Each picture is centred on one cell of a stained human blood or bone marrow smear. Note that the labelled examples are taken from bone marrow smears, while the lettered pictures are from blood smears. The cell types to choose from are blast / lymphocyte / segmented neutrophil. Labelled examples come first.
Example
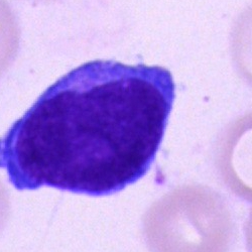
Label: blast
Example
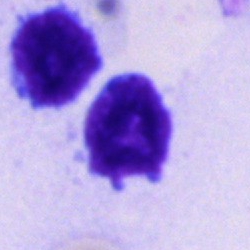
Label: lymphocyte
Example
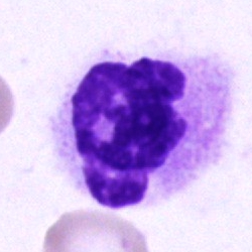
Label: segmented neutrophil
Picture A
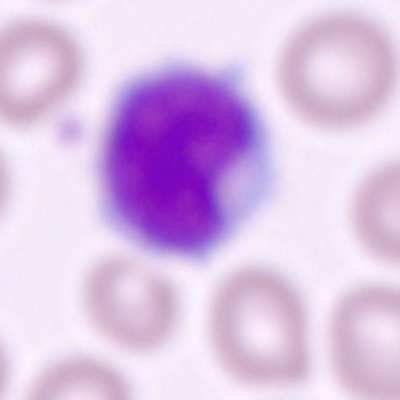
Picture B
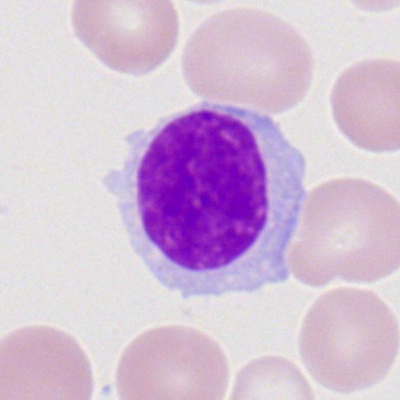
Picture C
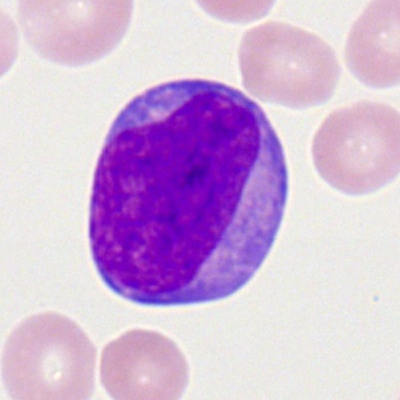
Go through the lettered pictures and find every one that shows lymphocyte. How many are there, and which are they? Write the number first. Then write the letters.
2, namely A, B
